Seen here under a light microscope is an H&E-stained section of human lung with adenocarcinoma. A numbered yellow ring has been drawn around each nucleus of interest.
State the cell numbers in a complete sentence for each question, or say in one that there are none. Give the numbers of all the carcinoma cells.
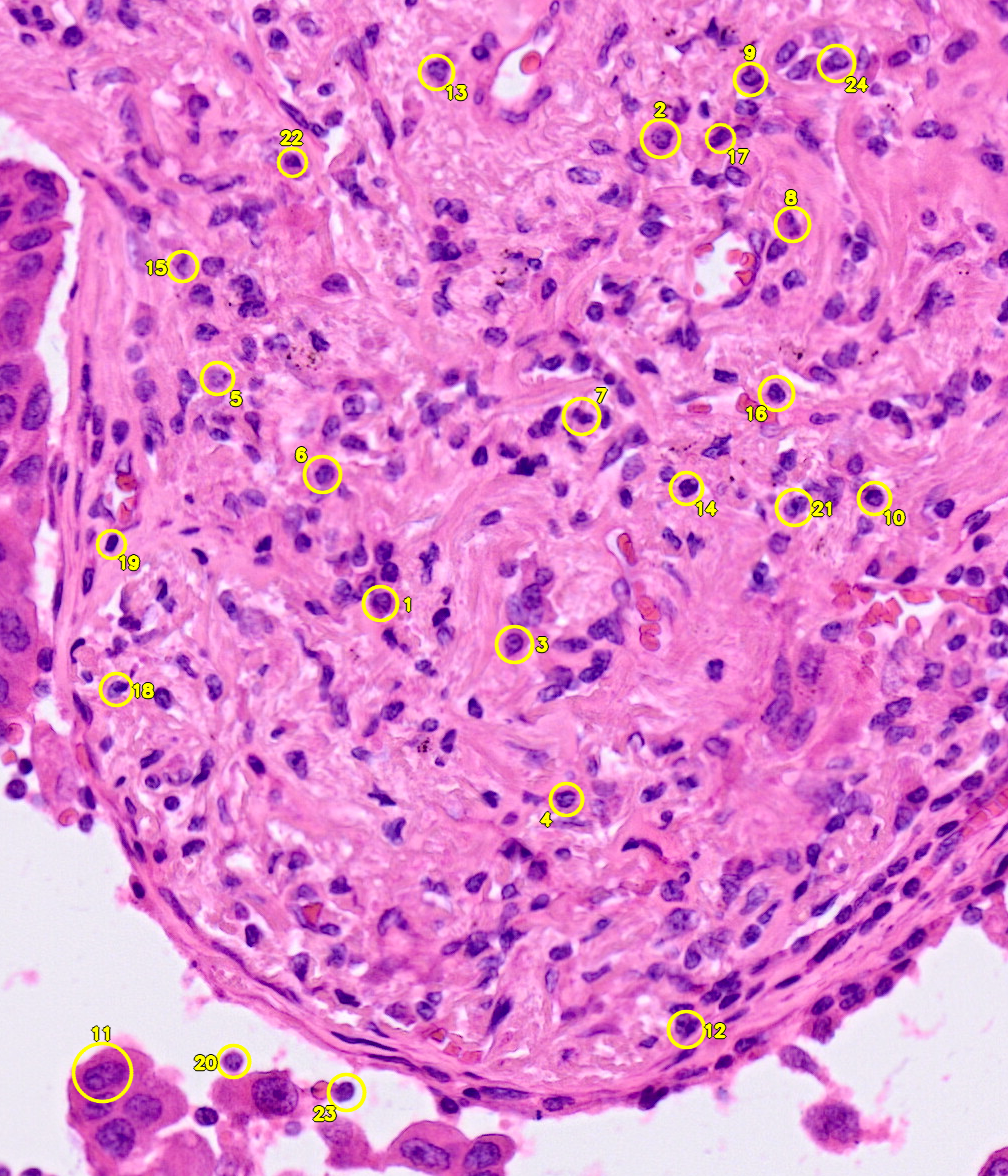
Only one choice fits: cell 11 is a carcinoma cell, and no other.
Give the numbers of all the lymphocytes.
The cells which carry the numbers 7, 12, 14, 16, 18, 19, 20, 21 and 23 are lymphocytes.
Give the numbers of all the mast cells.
By cell type, the cells numbered 4 and 6 are mast cells.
